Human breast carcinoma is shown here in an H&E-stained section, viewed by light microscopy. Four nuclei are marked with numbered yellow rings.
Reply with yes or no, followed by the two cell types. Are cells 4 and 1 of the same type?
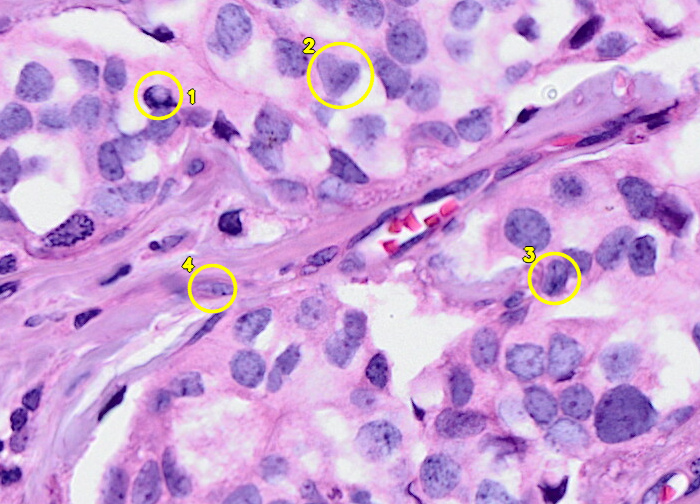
No, cell 4 is an endothelial cell and cell 1 is a carcinoma cell.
